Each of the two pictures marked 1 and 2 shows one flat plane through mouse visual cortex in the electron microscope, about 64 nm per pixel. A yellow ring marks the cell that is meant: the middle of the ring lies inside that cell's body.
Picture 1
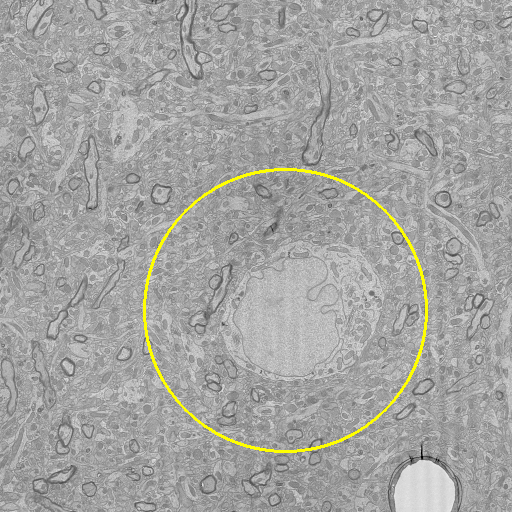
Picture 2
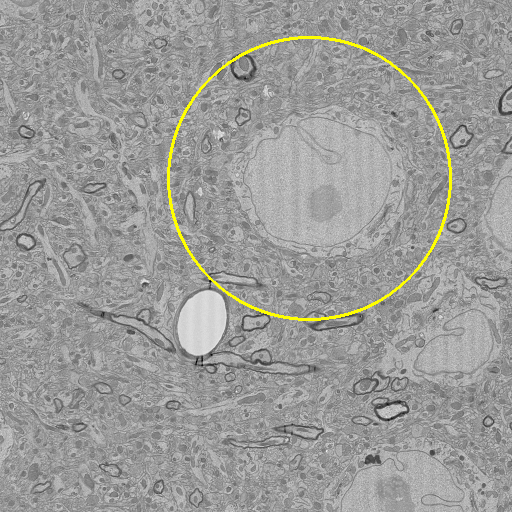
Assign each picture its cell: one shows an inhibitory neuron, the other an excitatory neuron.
In picture 1 the cell is an inhibitory neuron; in picture 2, an excitatory neuron.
